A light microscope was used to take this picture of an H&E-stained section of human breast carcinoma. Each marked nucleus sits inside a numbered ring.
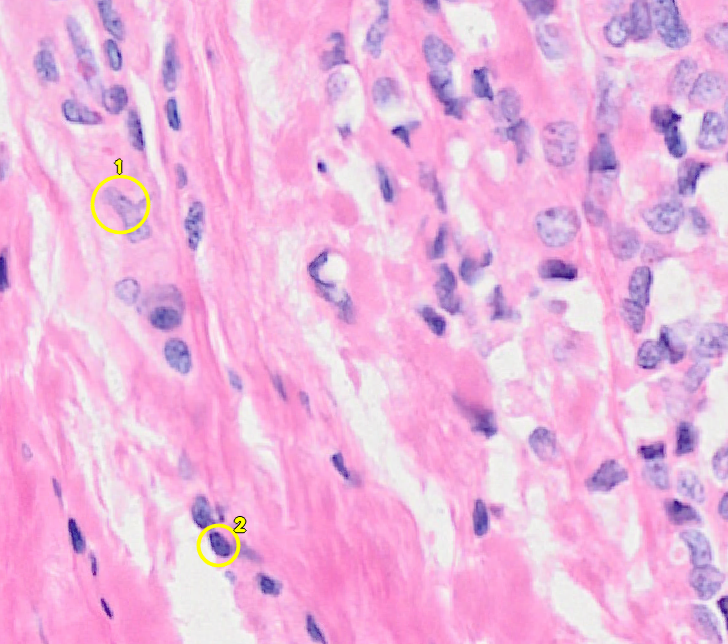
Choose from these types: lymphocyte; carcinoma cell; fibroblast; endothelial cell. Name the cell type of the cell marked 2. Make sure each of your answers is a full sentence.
Heads up, the cell numbered 2 is a lymphocyte.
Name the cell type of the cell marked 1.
What the number 1 marks in this field is an endothelial cell.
